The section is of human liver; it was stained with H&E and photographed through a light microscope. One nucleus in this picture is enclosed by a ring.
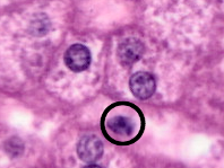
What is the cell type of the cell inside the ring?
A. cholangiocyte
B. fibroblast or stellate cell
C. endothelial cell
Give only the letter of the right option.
C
